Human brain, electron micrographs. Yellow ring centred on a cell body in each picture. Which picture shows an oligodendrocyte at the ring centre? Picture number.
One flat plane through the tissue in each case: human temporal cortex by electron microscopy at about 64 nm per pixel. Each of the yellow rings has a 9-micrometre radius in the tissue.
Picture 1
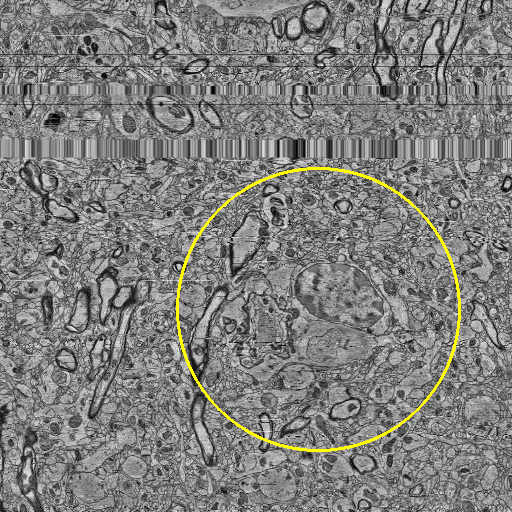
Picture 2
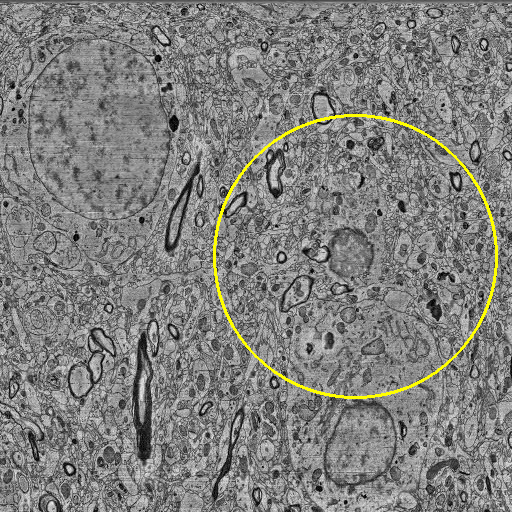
2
